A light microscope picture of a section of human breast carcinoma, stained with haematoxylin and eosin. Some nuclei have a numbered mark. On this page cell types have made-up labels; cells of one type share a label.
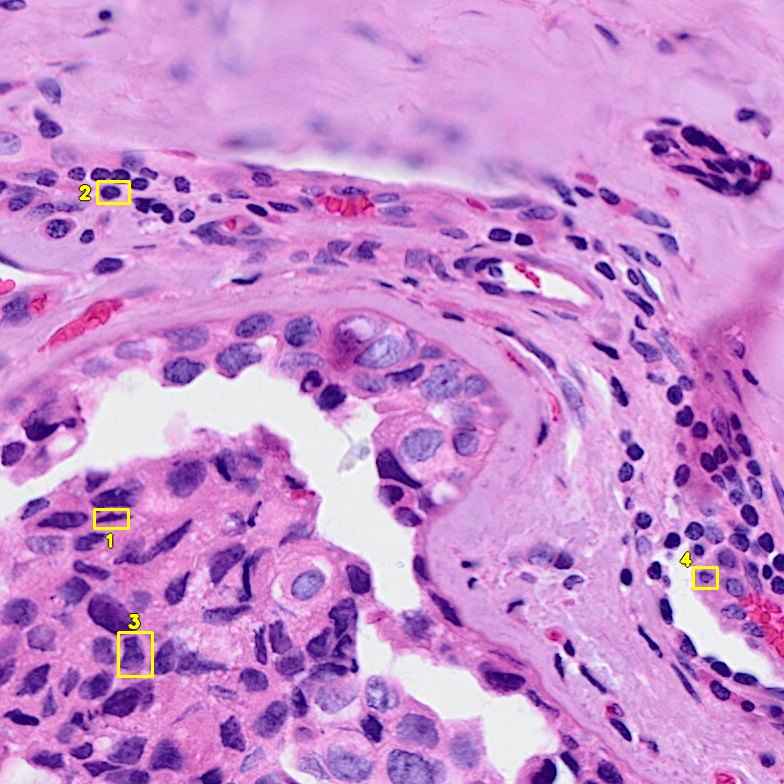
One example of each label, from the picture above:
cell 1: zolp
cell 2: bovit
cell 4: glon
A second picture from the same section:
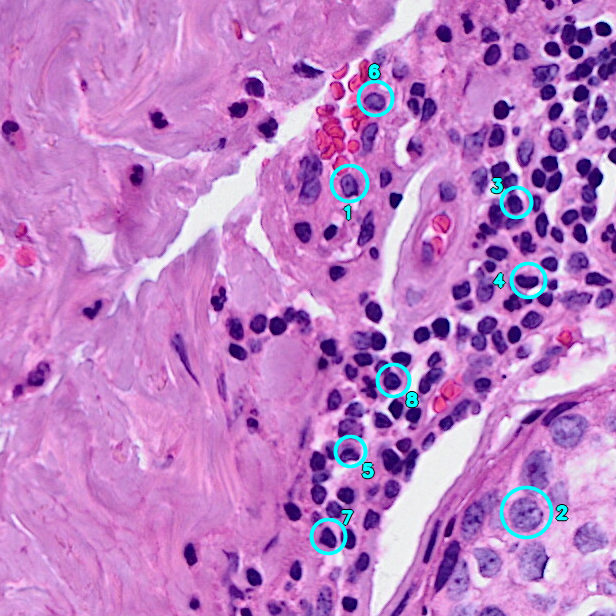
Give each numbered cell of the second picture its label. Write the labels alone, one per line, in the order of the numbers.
glon
zolp
bovit
bovit
bovit
glon
bovit
bovit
